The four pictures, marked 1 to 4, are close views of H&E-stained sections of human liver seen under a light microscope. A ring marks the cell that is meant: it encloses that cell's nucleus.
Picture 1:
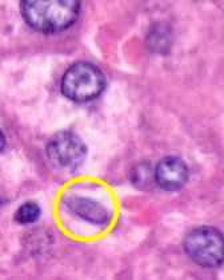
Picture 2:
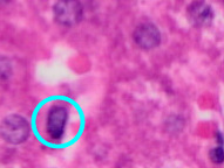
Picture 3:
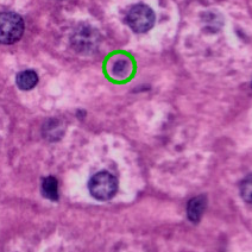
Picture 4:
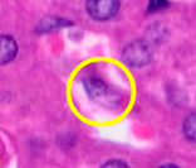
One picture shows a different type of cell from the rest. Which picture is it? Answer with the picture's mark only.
3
